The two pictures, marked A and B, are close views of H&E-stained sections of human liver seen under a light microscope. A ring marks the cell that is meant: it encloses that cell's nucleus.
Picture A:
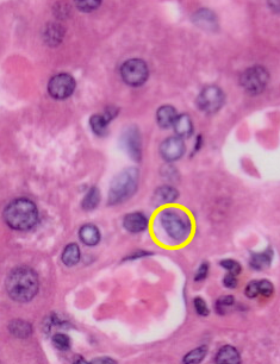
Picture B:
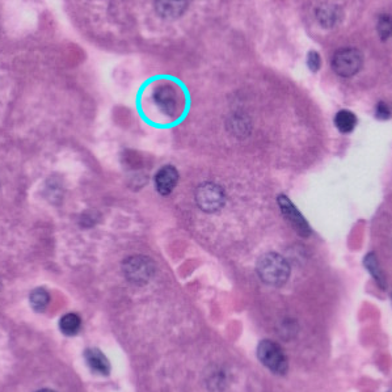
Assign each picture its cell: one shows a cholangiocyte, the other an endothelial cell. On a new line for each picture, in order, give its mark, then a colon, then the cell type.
A: cholangiocyte
B: endothelial cell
